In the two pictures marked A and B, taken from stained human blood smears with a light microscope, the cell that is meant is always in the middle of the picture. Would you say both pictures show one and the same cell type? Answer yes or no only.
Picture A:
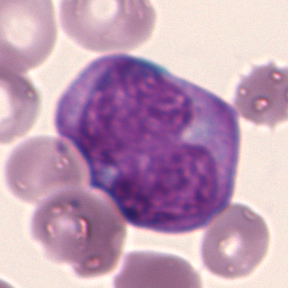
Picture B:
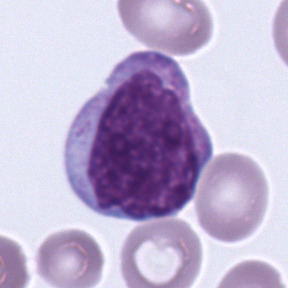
yes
